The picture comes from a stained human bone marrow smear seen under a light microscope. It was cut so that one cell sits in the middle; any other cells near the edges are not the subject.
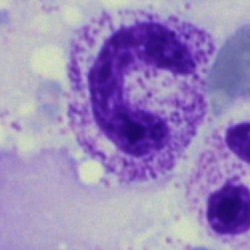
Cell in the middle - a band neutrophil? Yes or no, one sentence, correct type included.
Yes, the cell at the middle of the frame is a band neutrophil.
